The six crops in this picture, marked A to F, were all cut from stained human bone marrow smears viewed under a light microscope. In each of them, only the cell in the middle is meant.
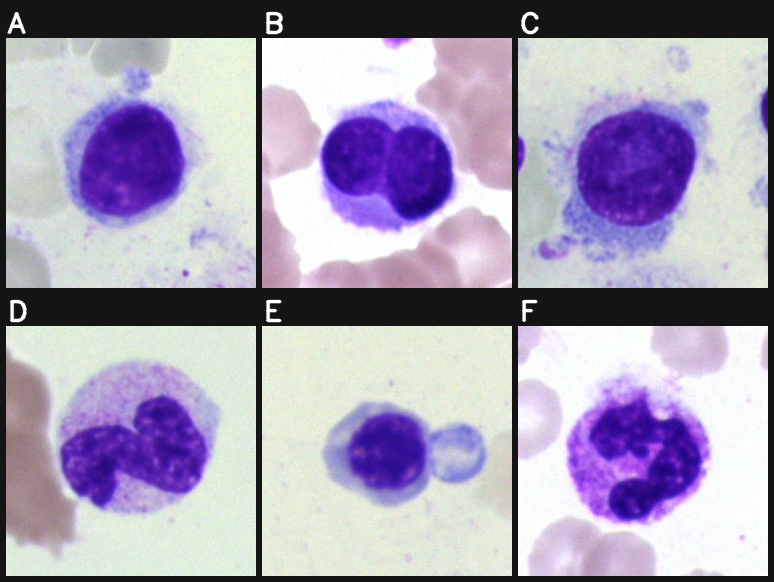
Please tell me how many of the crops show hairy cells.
3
